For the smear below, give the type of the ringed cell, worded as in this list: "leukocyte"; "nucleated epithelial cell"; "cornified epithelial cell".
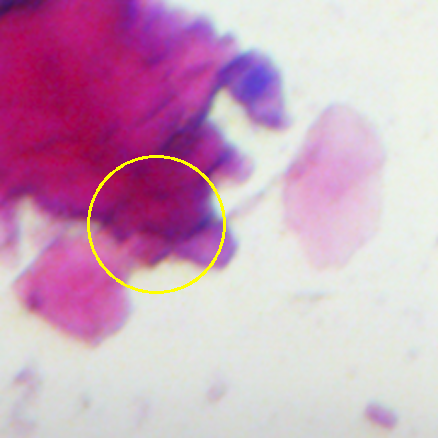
cornified epithelial cell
